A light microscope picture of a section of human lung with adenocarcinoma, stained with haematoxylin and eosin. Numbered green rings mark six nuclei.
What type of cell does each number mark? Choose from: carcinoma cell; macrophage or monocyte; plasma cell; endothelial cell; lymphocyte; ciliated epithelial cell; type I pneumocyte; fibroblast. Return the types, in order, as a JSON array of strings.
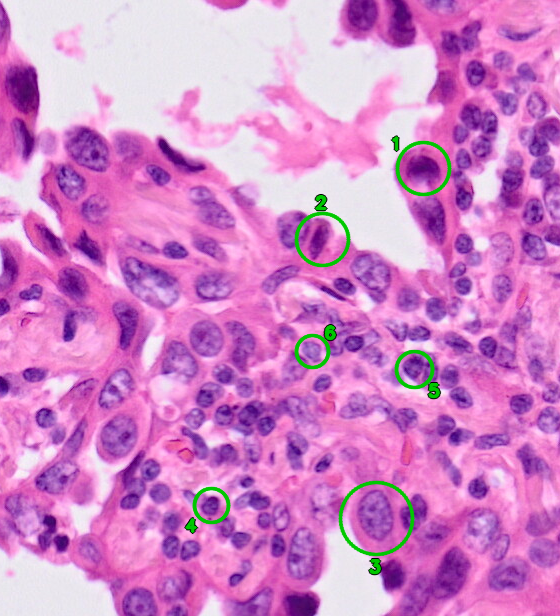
["carcinoma cell", "carcinoma cell", "carcinoma cell", "lymphocyte", "lymphocyte", "lymphocyte"]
